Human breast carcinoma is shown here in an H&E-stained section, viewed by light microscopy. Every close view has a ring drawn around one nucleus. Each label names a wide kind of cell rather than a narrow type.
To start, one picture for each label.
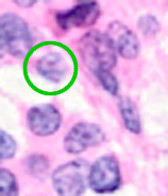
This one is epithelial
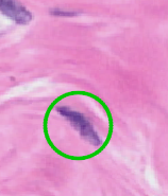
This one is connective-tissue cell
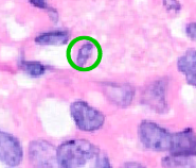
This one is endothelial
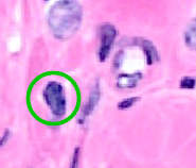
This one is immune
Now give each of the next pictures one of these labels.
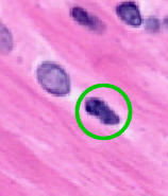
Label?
immune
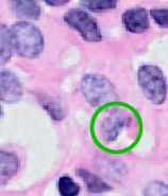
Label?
endothelial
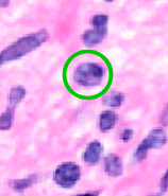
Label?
immune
